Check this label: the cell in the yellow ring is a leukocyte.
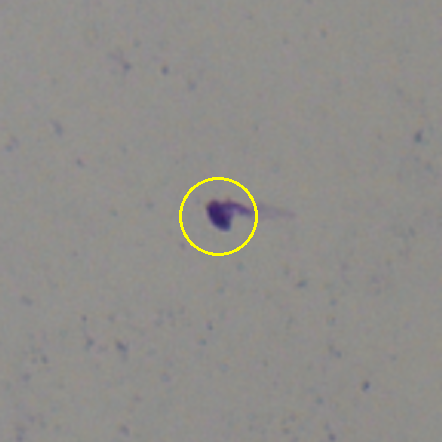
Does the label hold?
The label holds; the cell is a leukocyte.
